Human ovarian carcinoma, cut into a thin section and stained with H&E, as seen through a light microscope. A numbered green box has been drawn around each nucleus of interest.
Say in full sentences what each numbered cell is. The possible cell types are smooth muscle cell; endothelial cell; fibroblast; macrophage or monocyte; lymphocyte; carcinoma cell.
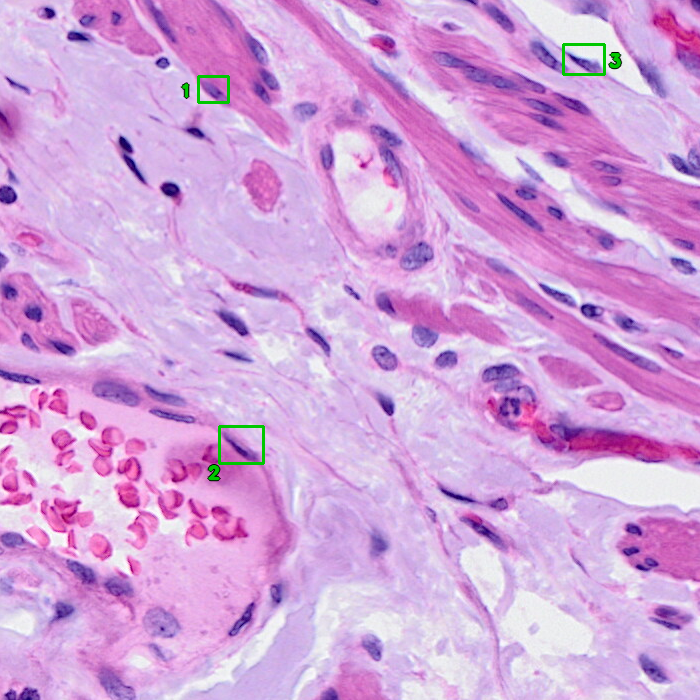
Cell 1 is a smooth muscle cell, cell 2 is an endothelial cell and cell 3 is an endothelial cell.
